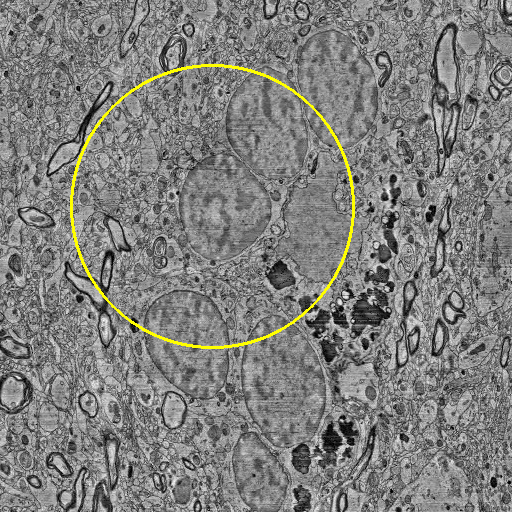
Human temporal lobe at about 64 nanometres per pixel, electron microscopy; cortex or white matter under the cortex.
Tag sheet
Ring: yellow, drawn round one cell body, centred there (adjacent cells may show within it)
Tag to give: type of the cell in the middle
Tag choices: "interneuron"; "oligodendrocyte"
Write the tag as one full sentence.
I tag the cell centred in the yellow ring as an oligodendrocyte in this picture.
